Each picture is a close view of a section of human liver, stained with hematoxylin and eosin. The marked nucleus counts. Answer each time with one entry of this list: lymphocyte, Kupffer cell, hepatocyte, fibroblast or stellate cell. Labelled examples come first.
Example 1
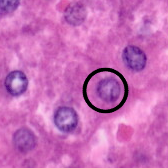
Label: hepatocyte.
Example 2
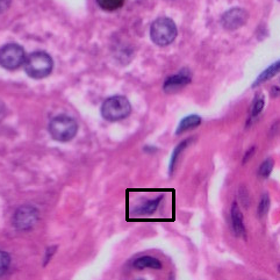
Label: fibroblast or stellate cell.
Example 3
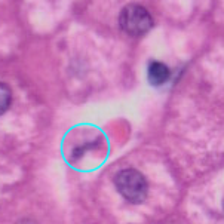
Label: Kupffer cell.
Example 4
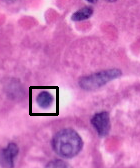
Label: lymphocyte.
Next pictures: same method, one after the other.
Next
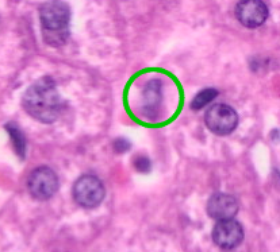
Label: Kupffer cell.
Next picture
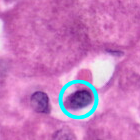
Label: Kupffer cell.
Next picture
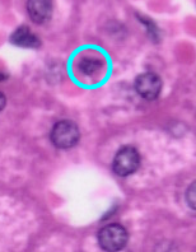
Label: fibroblast or stellate cell.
